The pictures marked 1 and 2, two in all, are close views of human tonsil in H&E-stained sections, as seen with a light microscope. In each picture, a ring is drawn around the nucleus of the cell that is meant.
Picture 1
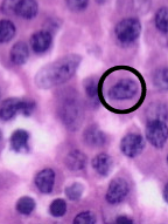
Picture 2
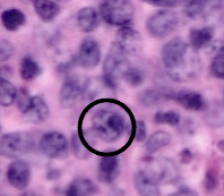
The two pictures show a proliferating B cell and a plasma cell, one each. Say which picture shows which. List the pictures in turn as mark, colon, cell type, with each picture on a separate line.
1: plasma cell
2: proliferating B cell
